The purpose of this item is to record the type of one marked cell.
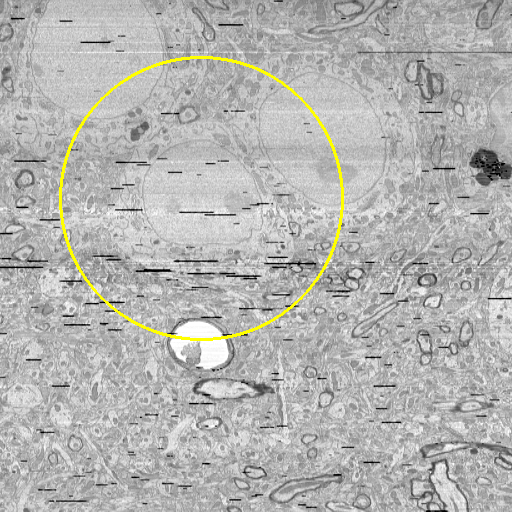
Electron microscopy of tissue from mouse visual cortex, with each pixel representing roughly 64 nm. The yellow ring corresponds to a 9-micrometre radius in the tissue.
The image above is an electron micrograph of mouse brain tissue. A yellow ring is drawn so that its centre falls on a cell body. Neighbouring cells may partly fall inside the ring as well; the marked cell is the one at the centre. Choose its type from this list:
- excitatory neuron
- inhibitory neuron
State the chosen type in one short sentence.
What the ring marks here is an excitatory neuron.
